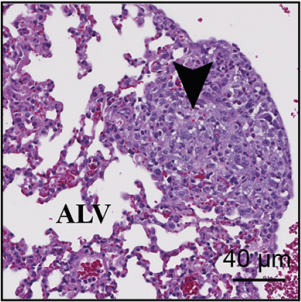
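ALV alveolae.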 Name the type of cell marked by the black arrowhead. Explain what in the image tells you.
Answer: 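Tumor cells. A rounded, dense nodule of closely packed cells among thin-walled air spaces. Cells in the nodule have larger purple nuclei than the surrounding septal cells.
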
